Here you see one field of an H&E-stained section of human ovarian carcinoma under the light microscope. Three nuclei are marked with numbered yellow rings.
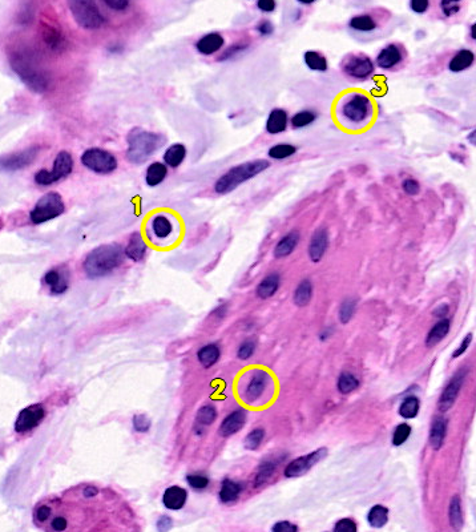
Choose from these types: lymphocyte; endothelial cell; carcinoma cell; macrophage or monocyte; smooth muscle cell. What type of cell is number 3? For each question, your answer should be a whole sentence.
The cell tagged with 3 in this tissue section is a lymphocyte.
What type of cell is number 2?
Cell 2 should be recorded as a smooth muscle cell.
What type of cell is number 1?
Recognised here as a lymphocyte is the cell numbered 1.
